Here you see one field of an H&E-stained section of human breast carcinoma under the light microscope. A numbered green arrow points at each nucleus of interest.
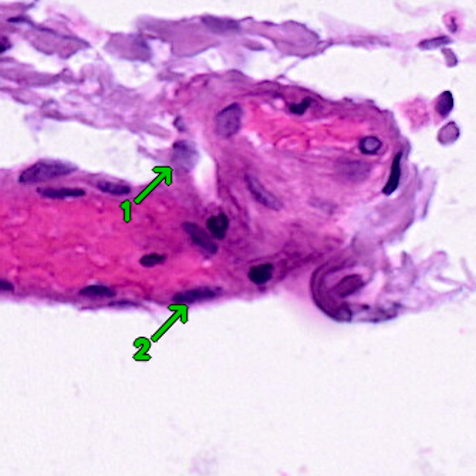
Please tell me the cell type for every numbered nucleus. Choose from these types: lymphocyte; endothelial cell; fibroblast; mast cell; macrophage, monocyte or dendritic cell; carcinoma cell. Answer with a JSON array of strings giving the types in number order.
["fibroblast", "endothelial cell"]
